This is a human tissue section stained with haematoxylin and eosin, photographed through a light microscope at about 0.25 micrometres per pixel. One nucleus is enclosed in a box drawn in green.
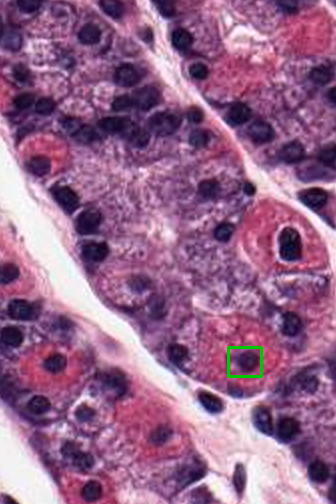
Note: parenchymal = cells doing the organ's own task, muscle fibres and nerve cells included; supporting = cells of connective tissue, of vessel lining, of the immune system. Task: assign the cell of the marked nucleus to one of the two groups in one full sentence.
The marked nucleus is held by a parenchymal cell, namely a parietal cell.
